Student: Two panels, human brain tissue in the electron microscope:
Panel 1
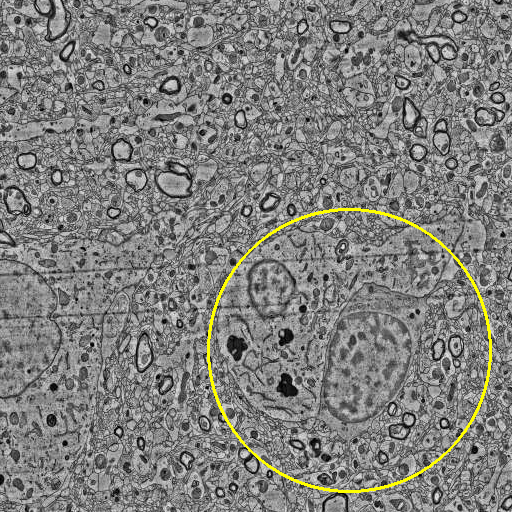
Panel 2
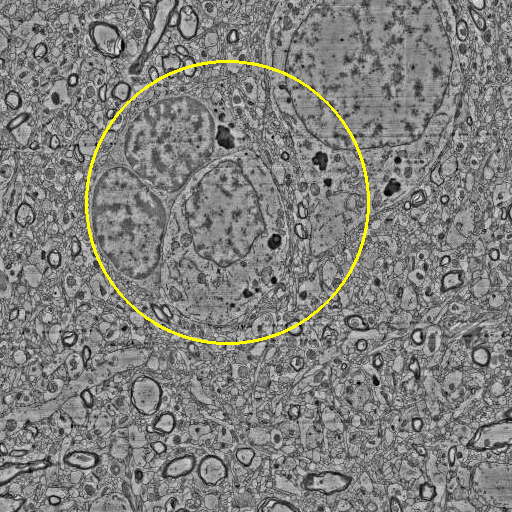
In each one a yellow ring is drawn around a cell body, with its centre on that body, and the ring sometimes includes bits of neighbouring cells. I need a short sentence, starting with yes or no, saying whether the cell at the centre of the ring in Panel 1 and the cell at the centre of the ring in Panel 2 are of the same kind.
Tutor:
No, they are two kinds of cell.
